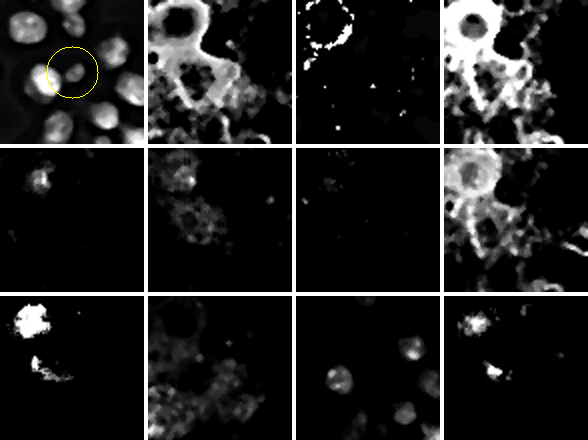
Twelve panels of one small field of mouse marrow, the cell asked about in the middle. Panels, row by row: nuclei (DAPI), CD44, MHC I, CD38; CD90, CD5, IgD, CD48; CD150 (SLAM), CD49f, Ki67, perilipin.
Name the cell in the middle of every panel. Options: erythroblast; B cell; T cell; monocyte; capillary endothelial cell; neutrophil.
monocyte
